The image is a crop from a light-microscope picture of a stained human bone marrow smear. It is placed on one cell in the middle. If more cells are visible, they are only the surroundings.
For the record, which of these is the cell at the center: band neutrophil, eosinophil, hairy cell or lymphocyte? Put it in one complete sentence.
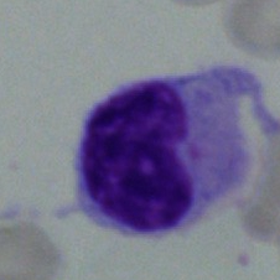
The crop's centre is taken up by a hairy cell.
